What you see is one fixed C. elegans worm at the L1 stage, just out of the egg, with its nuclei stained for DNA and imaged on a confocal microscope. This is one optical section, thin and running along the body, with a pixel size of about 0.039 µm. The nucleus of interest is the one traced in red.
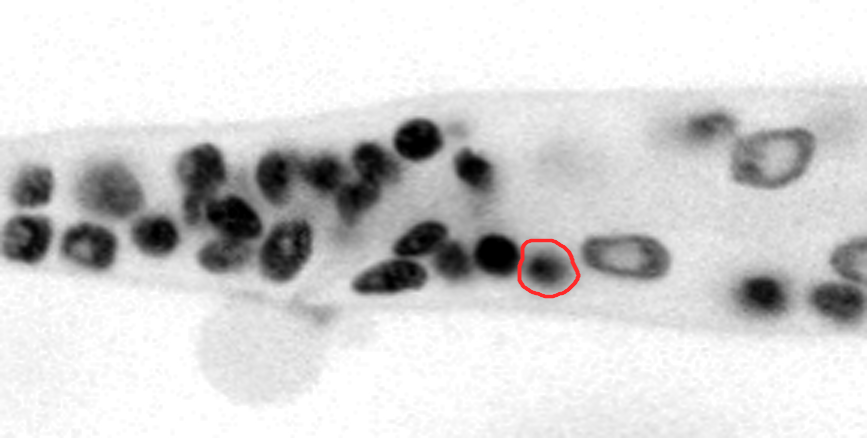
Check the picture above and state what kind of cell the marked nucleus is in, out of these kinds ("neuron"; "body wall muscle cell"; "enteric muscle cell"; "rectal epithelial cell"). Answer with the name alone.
neuron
